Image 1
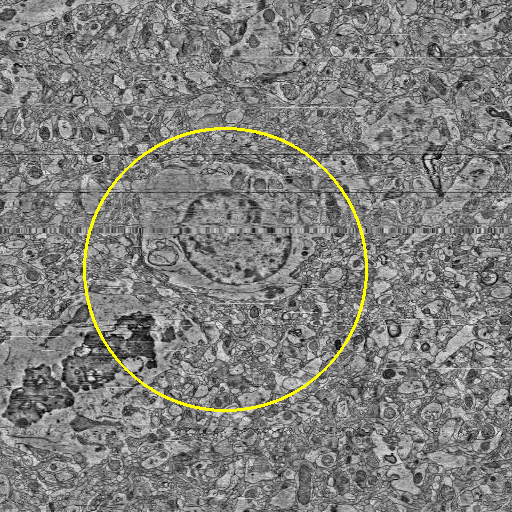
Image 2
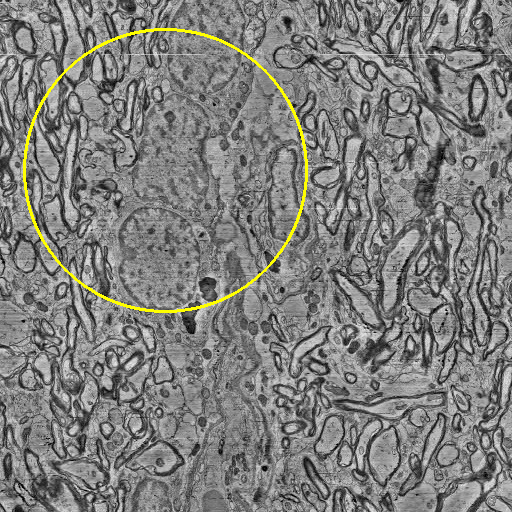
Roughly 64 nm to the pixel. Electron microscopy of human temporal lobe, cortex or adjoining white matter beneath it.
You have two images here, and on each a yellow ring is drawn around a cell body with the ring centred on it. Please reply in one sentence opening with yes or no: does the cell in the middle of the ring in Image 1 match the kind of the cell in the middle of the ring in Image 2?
No, the two images show cells of two kinds at the centres of their rings.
